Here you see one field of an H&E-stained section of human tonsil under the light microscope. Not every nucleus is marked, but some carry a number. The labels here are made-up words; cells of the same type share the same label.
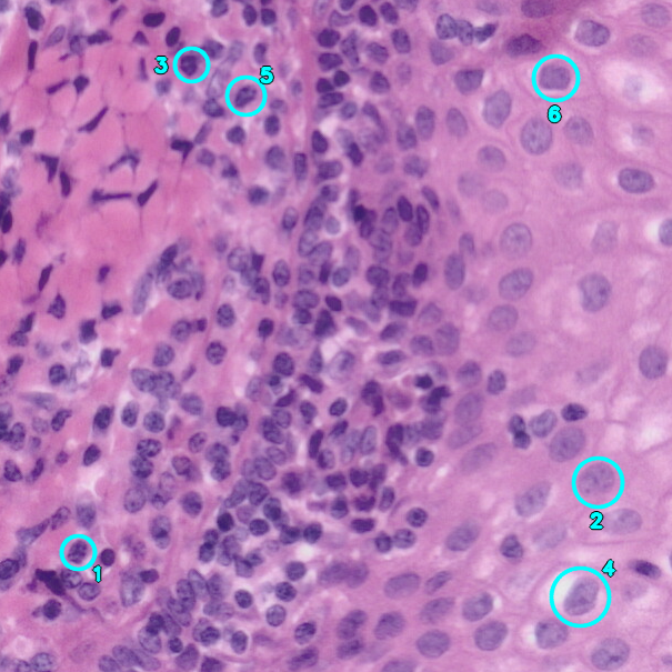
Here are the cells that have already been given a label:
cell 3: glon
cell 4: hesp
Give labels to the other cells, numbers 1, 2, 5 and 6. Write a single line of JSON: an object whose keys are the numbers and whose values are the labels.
{"1": "glon", "2": "hesp", "5": "glon", "6": "hesp"}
